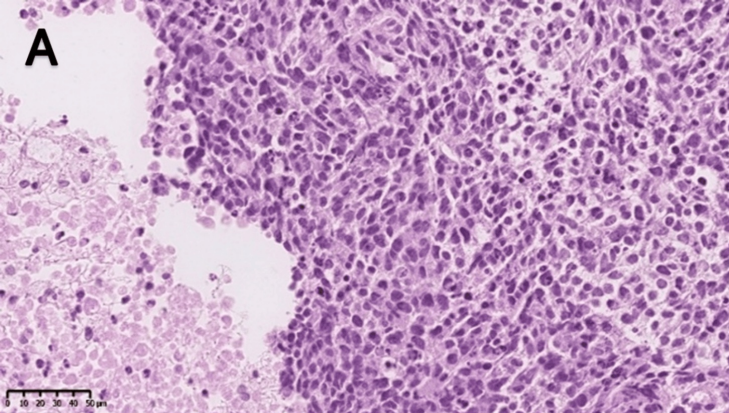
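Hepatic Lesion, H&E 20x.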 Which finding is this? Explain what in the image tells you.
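The left part of the field is pale pink granular debris without intact tissue architecture. Only scattered isolated dark nuclear fragments lie in the pale area. Viable densely cellular tissue borders the pale area on the right.
Conclusion: necrosis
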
